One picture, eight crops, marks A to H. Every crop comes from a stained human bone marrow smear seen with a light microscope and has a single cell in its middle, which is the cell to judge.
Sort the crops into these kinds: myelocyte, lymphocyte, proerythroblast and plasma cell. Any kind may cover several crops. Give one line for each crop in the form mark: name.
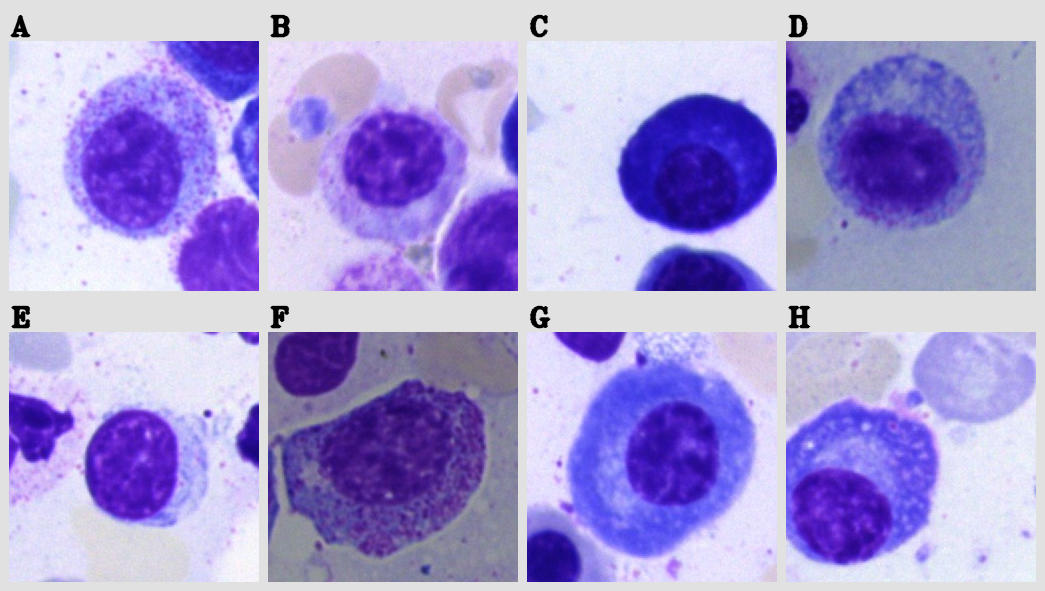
A: myelocyte
B: myelocyte
C: plasma cell
D: myelocyte
E: lymphocyte
F: myelocyte
G: plasma cell
H: plasma cell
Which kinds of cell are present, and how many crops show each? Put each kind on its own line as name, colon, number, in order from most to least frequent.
myelocyte: 4
plasma cell: 3
lymphocyte: 1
